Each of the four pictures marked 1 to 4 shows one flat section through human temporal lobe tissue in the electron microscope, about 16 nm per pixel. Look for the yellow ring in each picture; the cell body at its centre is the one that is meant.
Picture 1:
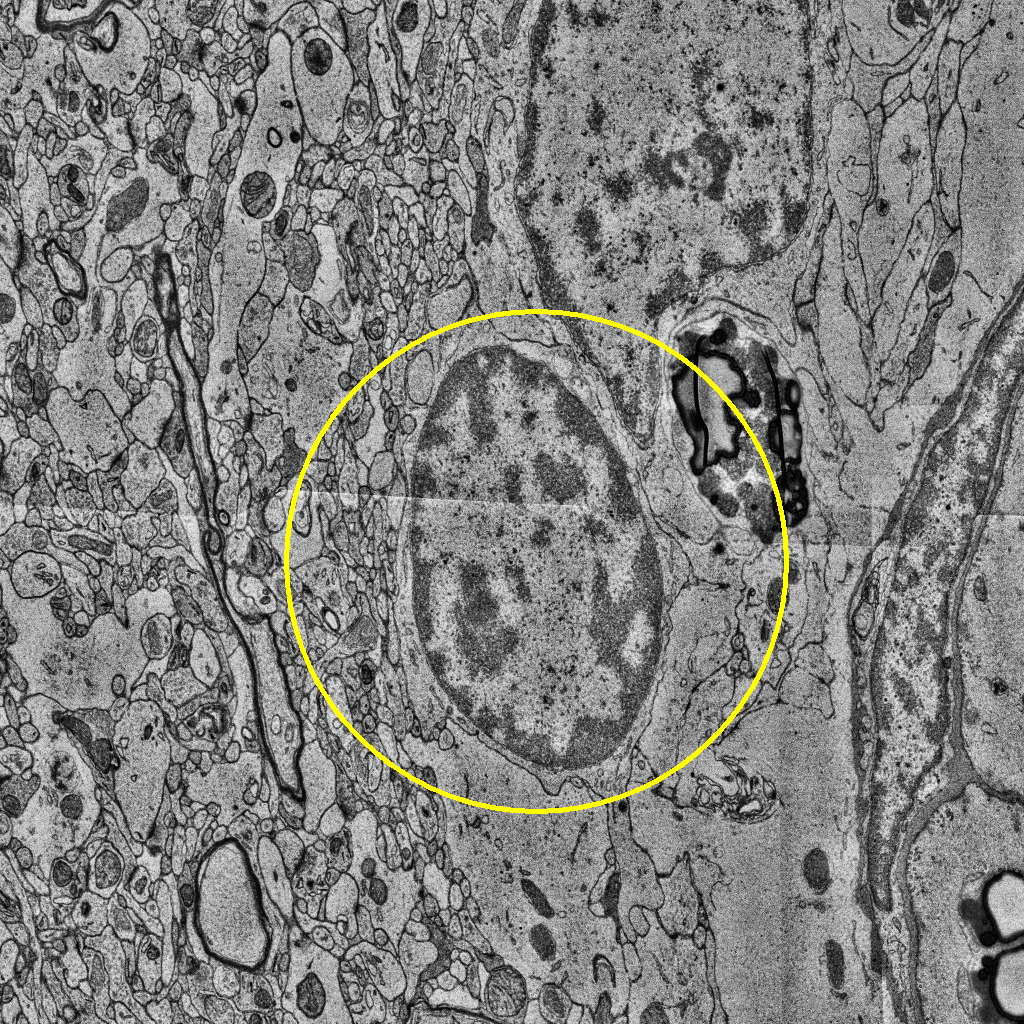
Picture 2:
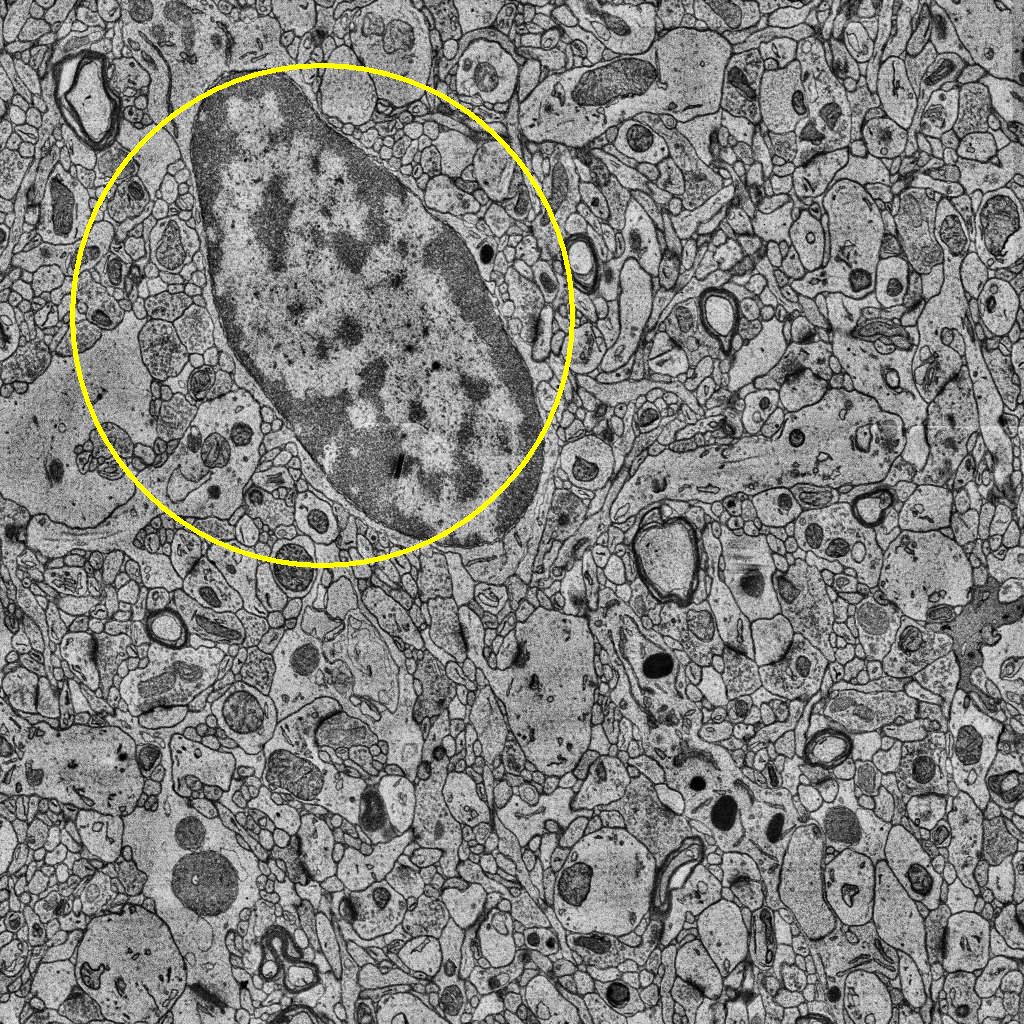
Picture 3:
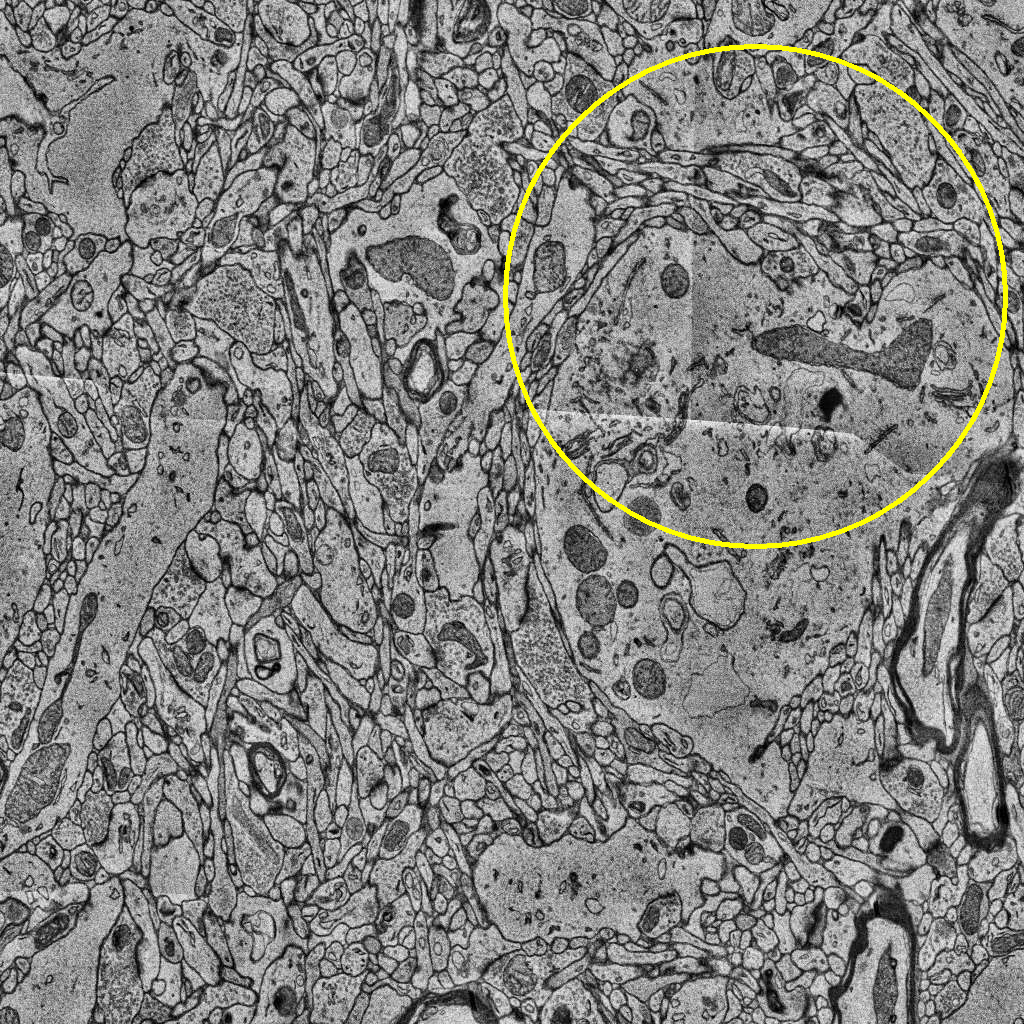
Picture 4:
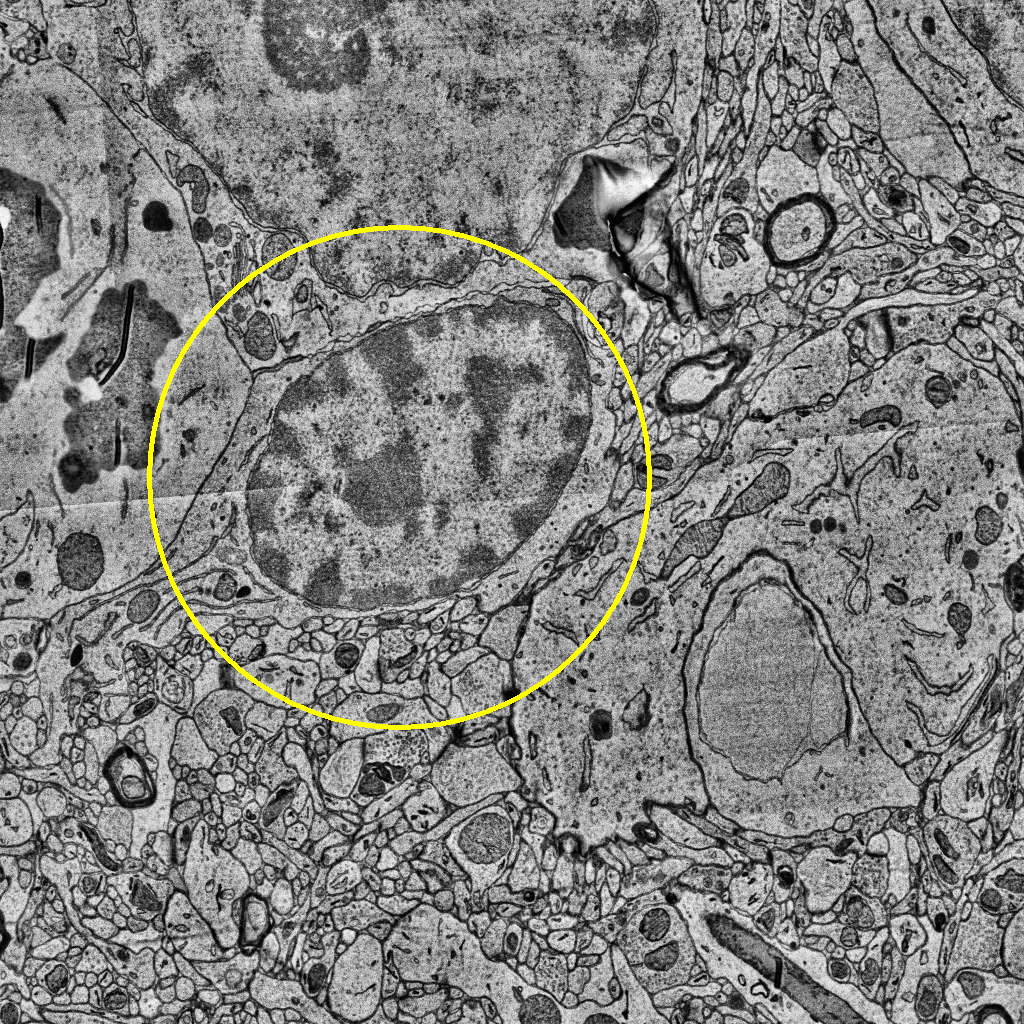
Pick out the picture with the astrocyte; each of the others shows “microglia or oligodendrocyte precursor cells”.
Picture 3 shows the astrocyte.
